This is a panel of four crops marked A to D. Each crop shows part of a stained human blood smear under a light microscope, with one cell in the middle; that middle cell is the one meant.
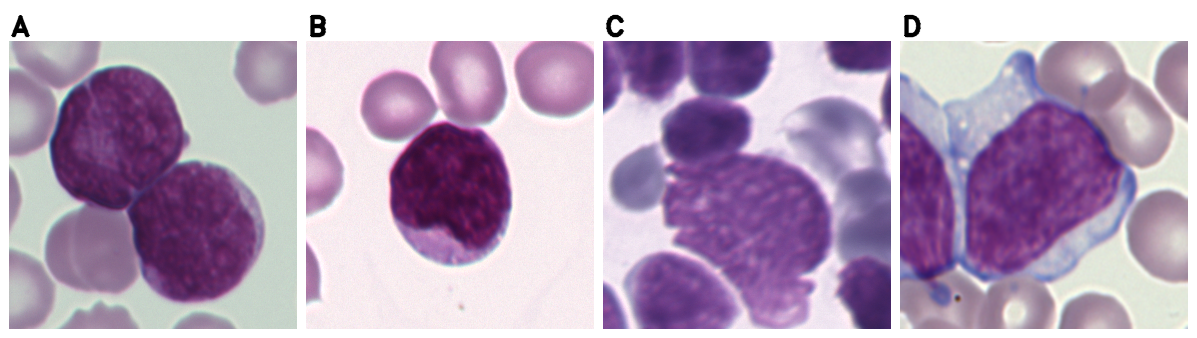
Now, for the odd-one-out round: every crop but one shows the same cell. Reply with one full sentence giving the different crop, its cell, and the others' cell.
Crop C is different, showing a smudge cell, whereas all the others show myeloblasts.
